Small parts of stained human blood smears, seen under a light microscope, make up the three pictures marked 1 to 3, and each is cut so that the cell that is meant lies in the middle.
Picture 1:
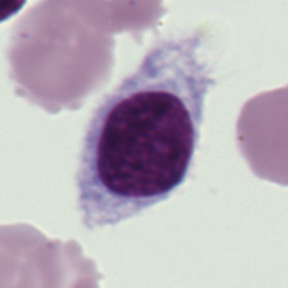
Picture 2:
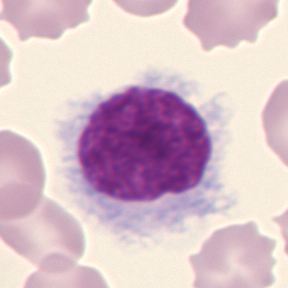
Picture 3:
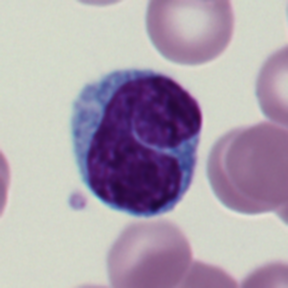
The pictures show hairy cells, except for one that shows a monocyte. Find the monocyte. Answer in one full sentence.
Picture 3 is the one that shows the monocyte.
